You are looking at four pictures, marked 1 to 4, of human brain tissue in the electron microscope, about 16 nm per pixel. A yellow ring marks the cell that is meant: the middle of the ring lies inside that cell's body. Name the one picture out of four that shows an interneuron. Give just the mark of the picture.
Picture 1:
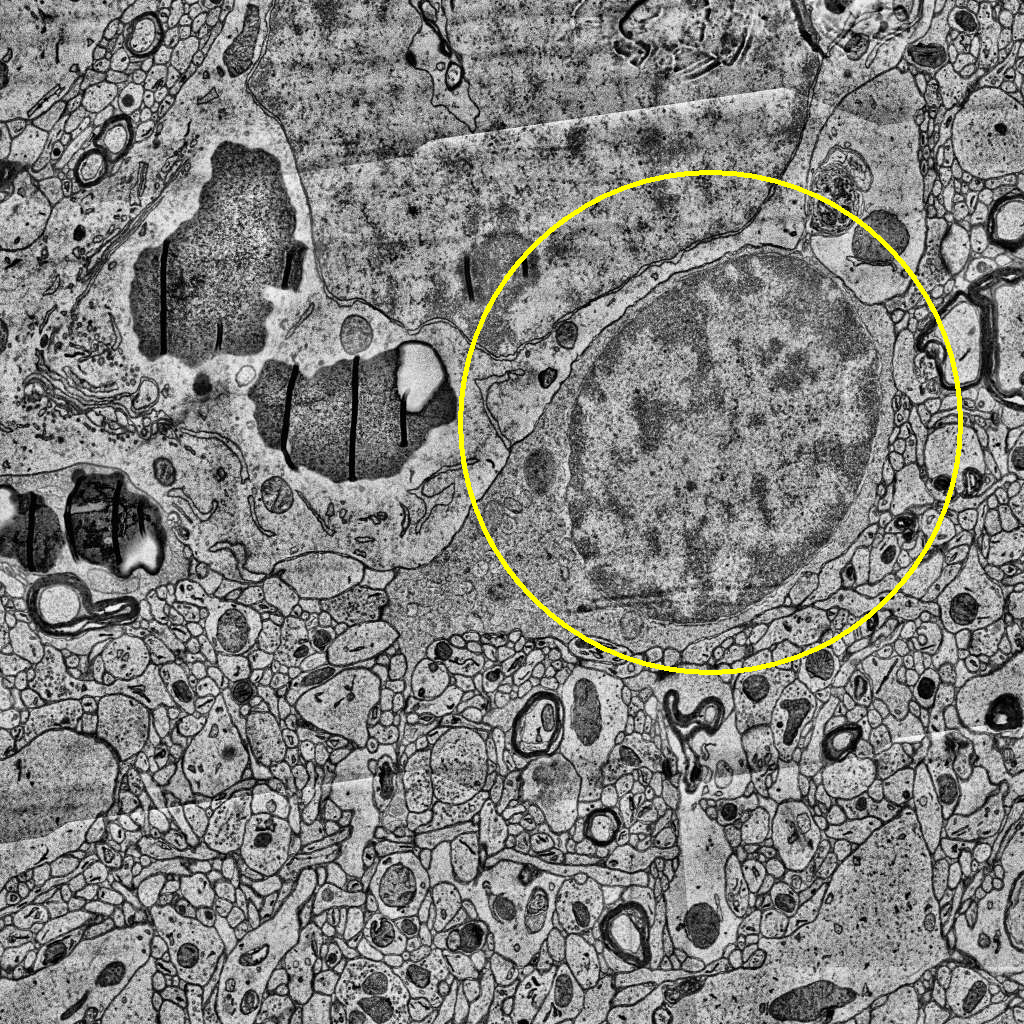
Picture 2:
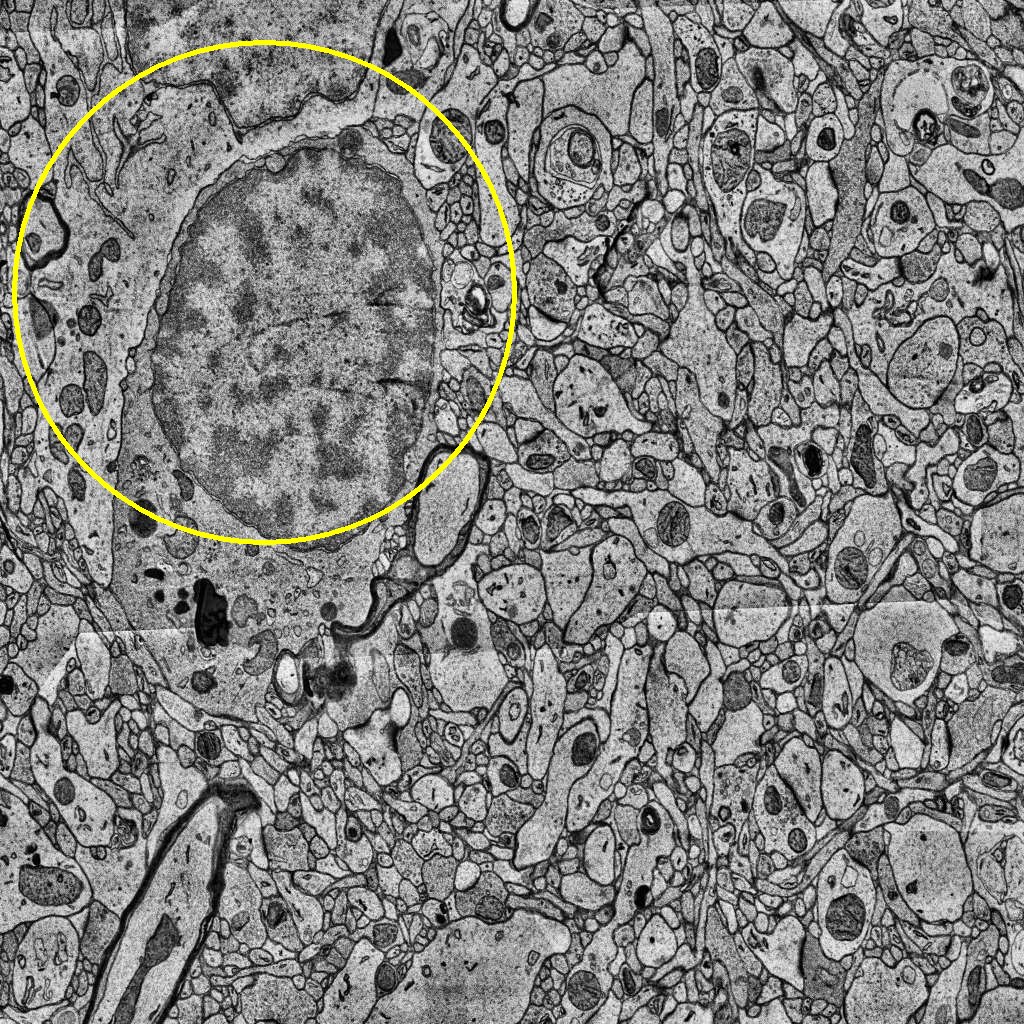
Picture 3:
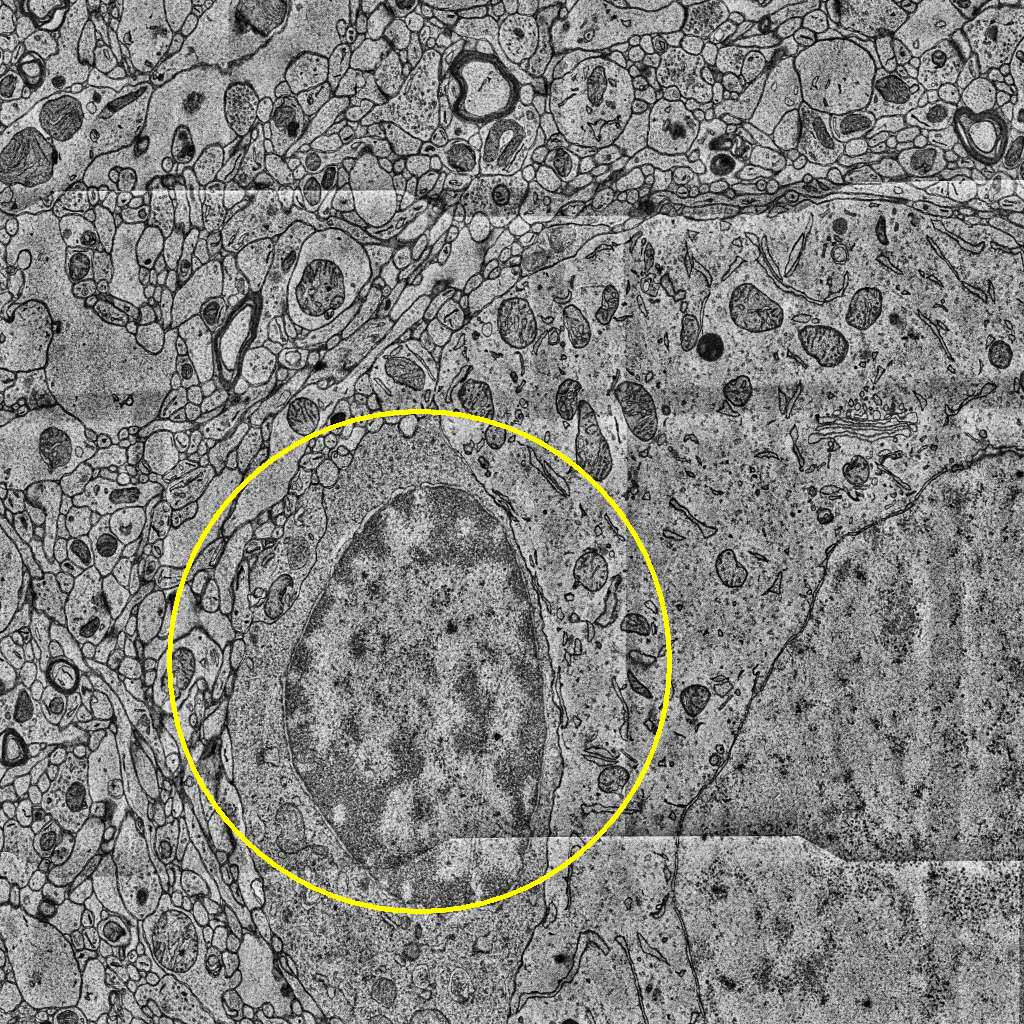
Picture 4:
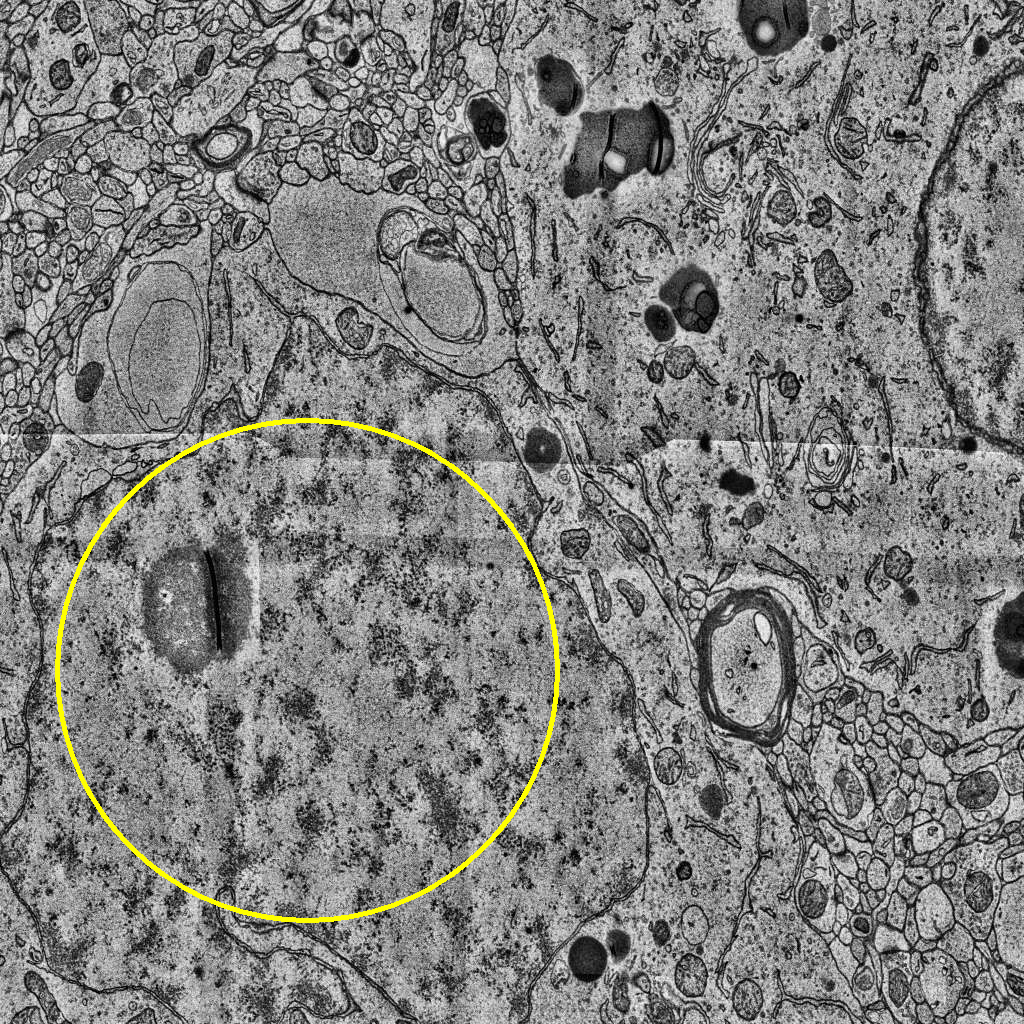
4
